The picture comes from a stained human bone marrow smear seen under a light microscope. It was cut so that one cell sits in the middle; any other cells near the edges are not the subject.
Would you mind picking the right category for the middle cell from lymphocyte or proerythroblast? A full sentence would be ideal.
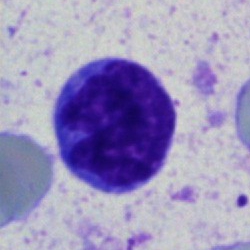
Centred in the crop is a lymphocyte.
